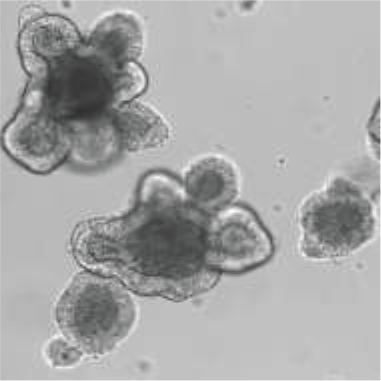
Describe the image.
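These are budding organoids, each built of a dark central body from which several rounded buds protrude. The buds are lined by a thick epithelial layer with a distinct outer border, and the centre is crowded and dark with shed material.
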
